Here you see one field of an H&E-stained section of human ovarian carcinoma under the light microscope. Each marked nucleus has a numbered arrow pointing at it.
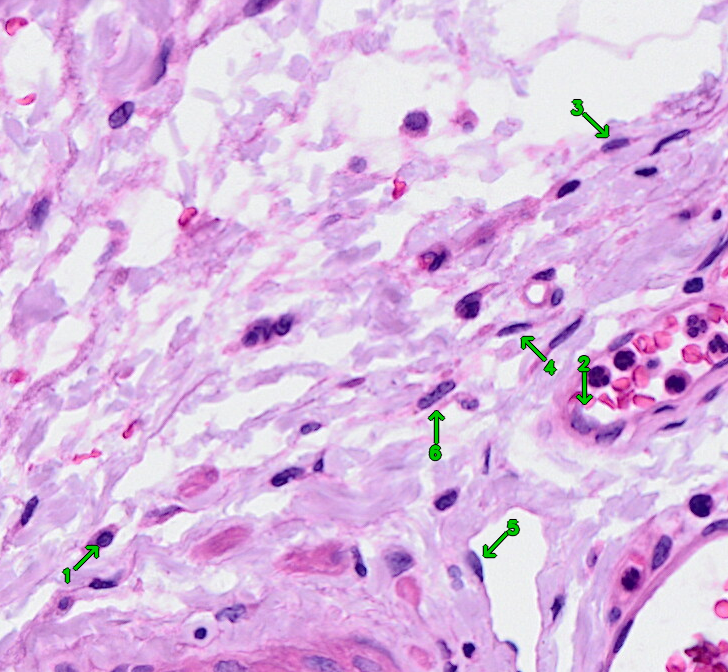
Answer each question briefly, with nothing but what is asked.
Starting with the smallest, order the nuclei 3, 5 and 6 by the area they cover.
3, 5, 6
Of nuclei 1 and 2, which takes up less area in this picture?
1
